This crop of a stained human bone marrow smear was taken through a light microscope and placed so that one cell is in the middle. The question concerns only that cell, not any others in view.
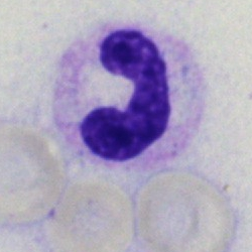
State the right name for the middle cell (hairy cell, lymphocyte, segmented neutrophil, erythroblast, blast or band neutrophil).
band neutrophil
